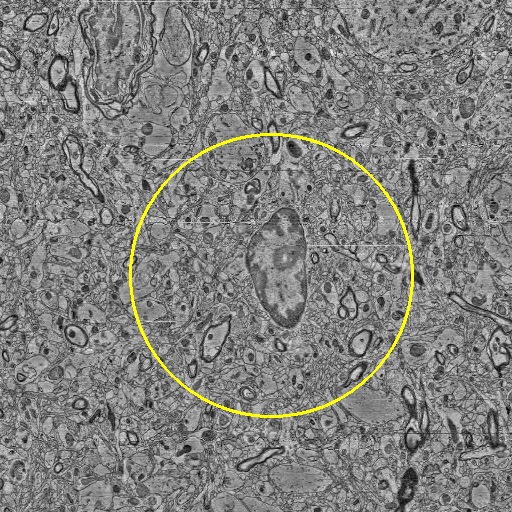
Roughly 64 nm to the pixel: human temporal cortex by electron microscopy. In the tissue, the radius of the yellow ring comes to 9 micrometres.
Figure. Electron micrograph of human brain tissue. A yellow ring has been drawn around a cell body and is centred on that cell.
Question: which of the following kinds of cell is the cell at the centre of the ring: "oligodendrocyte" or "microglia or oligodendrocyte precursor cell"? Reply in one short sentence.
The cell at the centre of the ring is a microglial cell or oligodendrocyte precursor cell.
